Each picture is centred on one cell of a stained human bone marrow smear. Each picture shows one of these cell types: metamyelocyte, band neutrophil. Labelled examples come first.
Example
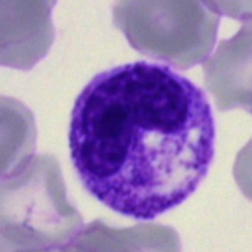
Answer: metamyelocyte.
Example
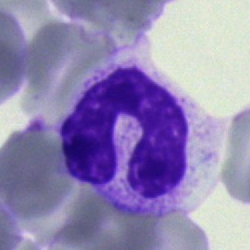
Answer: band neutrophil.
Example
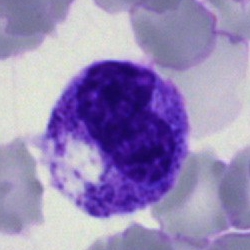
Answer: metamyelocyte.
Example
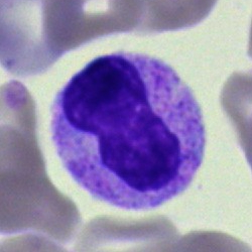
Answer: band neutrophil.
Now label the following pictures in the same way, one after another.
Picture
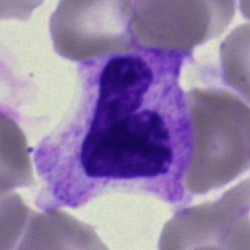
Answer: band neutrophil.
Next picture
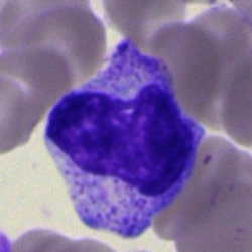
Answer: metamyelocyte.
